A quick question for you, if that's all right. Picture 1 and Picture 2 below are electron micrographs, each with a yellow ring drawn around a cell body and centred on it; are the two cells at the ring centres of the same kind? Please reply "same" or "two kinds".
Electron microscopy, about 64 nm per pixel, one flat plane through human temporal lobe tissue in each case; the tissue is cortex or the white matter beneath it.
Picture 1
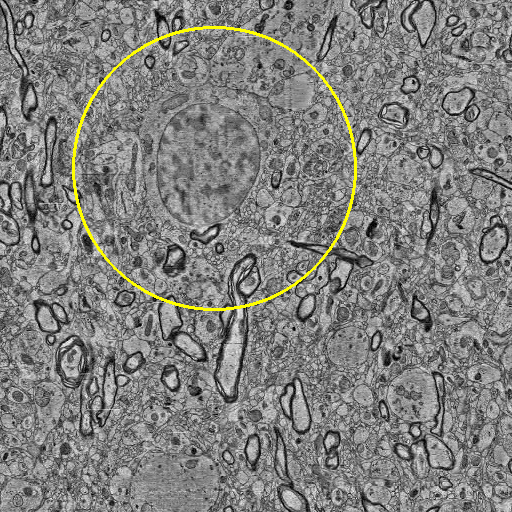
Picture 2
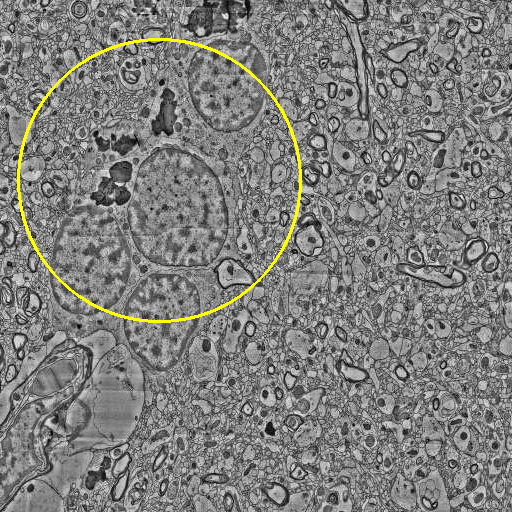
same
